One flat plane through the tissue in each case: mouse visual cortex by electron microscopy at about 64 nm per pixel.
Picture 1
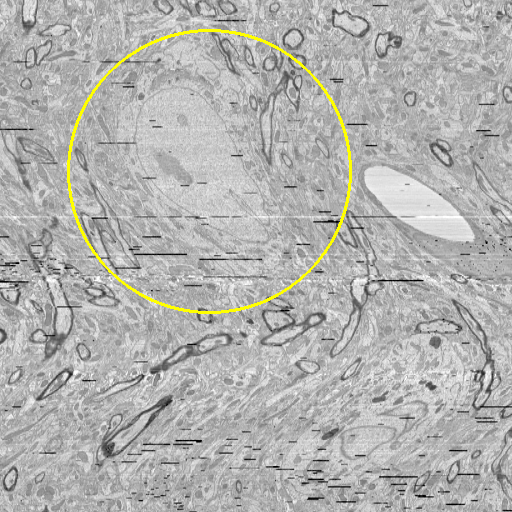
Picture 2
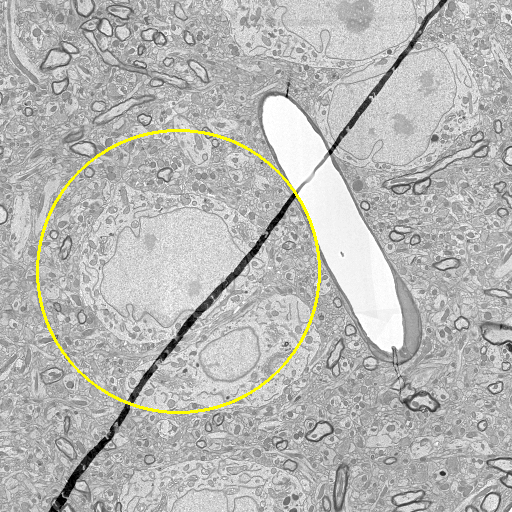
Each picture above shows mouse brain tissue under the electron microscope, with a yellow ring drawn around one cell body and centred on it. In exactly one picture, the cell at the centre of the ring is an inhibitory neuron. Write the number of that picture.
2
